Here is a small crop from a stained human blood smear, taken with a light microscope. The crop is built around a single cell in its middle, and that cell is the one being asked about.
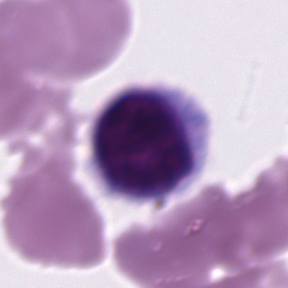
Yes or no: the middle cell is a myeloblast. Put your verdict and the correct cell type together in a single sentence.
No, that is not a myeloblast; the middle cell is a hairy cell.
